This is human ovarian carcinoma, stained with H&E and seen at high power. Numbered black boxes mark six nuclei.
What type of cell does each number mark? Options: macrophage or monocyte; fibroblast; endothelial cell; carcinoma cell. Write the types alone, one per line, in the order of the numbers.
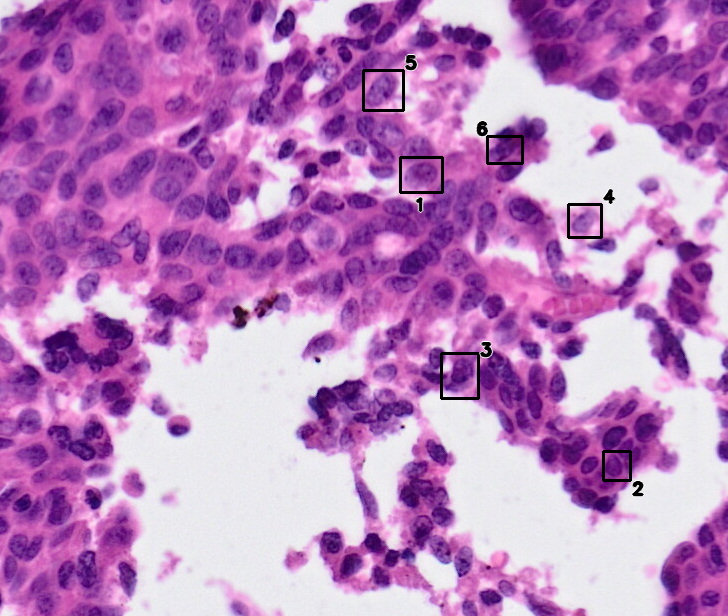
carcinoma cell
carcinoma cell
carcinoma cell
macrophage or monocyte
macrophage or monocyte
carcinoma cell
